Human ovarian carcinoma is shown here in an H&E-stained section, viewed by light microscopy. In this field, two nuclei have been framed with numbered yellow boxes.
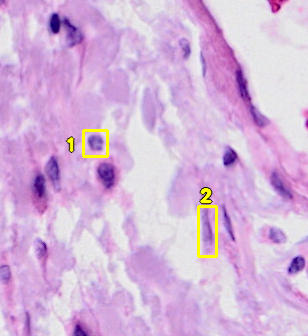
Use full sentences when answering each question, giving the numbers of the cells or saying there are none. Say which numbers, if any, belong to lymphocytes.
In this set of numbered cells, only cell 1 is a lymphocyte.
